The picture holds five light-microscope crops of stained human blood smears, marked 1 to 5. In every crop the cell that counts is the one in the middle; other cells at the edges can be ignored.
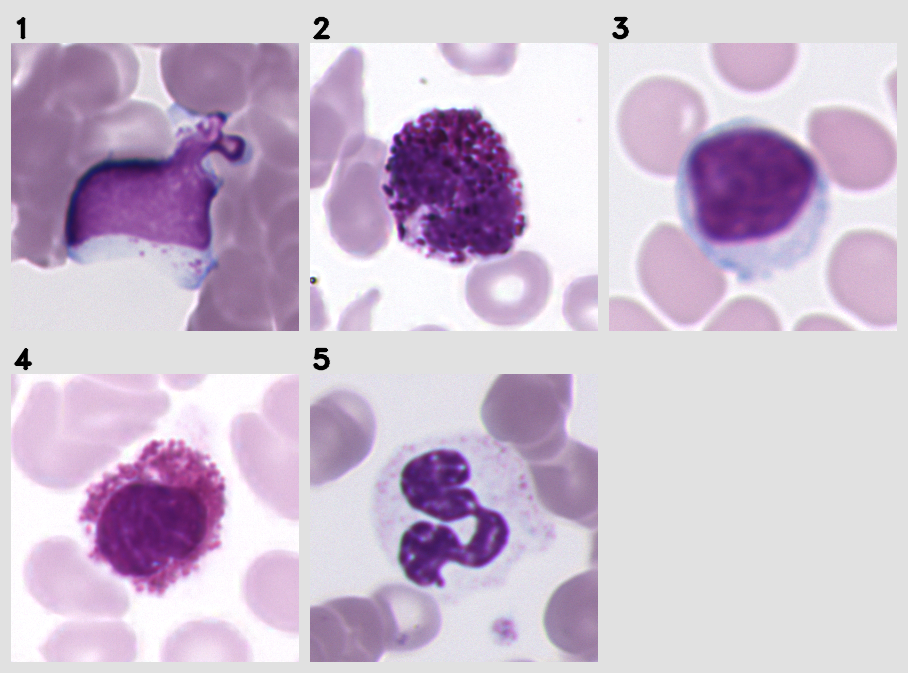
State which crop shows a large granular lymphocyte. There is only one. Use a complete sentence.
Crop 1, of the crops presented, is the one showing a large granular lymphocyte.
